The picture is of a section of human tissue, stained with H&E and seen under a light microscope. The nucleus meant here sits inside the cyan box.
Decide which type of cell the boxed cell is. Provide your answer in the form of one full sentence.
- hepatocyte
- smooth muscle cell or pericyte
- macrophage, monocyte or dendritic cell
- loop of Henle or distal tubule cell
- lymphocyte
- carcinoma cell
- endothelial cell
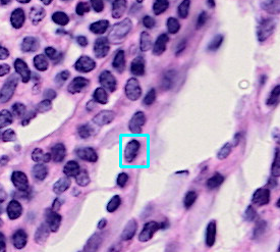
Cell type answer for this item: the boxed cell is a lymphocyte.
